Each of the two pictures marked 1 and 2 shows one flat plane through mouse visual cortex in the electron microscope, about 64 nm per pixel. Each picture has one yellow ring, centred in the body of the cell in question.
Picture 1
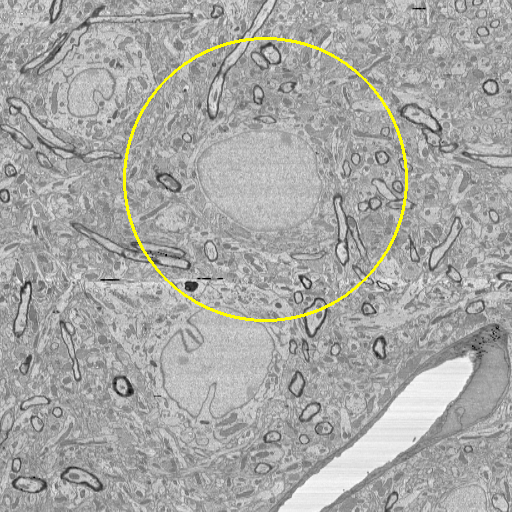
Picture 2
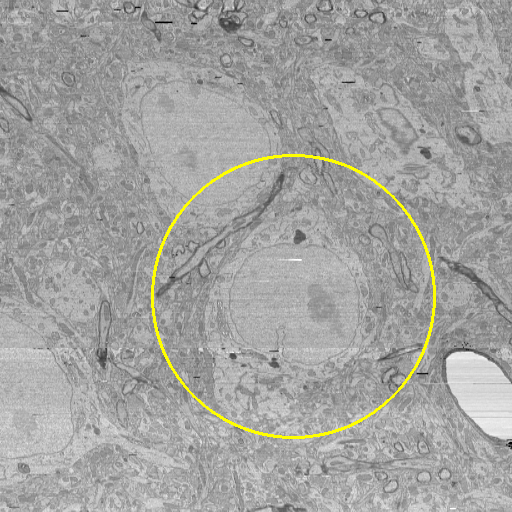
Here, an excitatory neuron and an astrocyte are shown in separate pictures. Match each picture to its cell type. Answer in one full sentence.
It is picture 1 that shows an astrocyte, and picture 2 that shows an excitatory neuron.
